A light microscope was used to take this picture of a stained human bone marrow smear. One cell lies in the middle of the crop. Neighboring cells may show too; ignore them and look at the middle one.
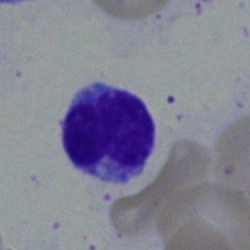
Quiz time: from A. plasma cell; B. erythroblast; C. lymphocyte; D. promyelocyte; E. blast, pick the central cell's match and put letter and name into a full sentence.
The cell in the middle is a lymphocyte, and that makes option C correct.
